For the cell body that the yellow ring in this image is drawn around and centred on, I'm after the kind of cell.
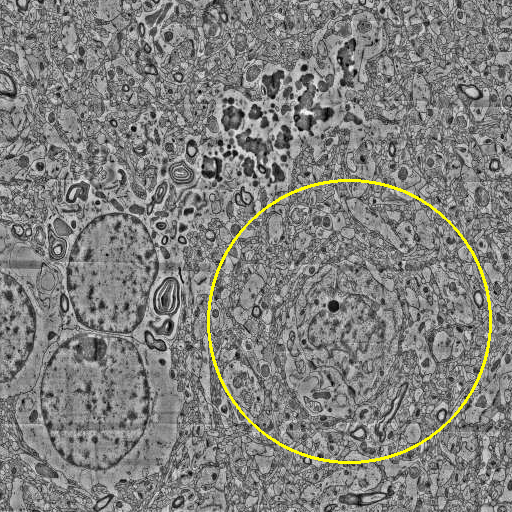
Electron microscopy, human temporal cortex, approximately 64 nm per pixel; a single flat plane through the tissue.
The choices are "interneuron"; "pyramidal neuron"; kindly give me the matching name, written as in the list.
interneuron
